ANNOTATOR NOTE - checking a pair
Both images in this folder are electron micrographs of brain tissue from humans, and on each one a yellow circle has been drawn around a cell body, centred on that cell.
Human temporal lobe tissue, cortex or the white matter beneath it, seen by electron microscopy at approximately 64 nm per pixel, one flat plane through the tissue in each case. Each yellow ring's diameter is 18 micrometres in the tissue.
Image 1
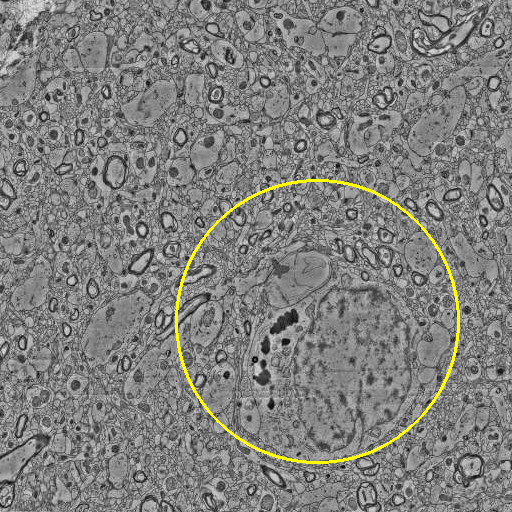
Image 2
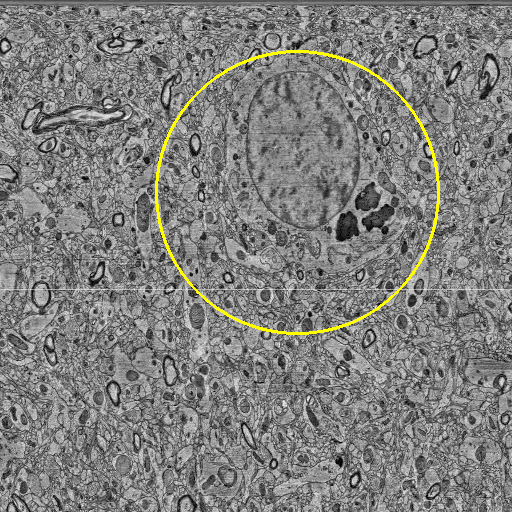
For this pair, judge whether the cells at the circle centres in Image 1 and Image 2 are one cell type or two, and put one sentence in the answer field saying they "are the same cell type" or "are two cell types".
For this pair, the cells at the circle centres in Images 1 and 2 are the same cell type.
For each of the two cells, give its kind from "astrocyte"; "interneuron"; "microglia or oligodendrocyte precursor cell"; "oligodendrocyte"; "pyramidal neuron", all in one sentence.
The first and the second cell are each an interneuron.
